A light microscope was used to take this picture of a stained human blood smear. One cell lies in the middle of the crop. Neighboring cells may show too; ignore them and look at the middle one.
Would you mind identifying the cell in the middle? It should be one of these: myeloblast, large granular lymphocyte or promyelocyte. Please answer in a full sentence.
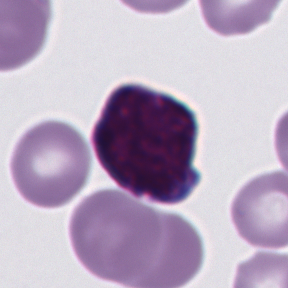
The cell at the central position in this crop is a myeloblast.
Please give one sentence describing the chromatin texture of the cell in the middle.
Its nuclear chromatin is gathered into coarse clumps.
